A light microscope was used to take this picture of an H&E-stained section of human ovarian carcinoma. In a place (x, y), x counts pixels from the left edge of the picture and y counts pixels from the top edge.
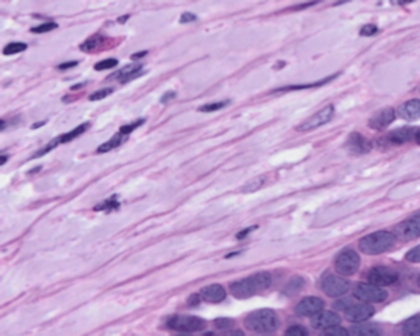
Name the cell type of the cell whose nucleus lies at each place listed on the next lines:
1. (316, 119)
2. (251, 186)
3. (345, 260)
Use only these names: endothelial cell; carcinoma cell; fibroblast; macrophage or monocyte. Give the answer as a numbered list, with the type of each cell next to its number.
1. fibroblast
2. fibroblast
3. carcinoma cell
